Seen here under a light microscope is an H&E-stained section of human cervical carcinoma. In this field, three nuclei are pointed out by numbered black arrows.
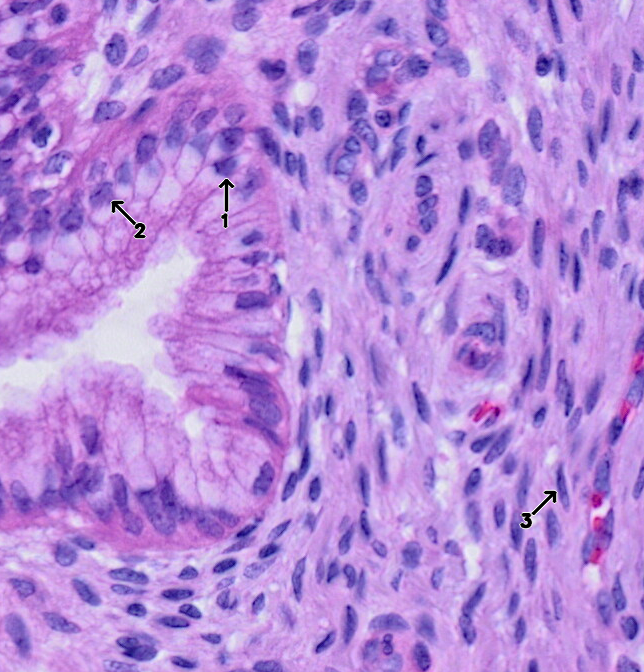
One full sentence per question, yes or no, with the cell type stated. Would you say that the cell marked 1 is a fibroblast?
No, the correct answer for cell 1 is a secretory epithelial cell, not a fibroblast.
